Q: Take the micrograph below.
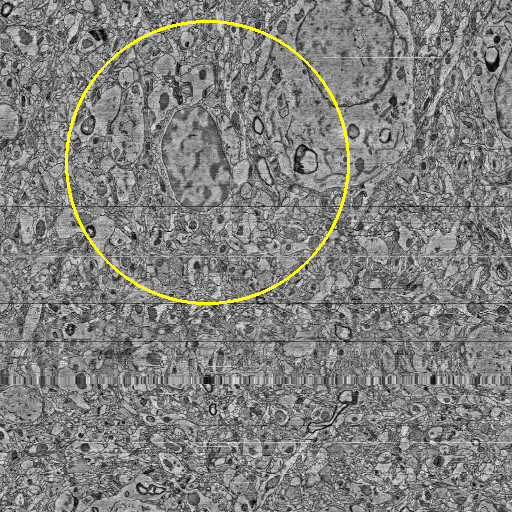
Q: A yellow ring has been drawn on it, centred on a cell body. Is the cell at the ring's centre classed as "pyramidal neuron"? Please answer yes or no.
No, its kind is another one.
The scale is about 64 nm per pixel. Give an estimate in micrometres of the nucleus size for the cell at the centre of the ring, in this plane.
About 7 by 4 micrometers for the nucleus, in this plane.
